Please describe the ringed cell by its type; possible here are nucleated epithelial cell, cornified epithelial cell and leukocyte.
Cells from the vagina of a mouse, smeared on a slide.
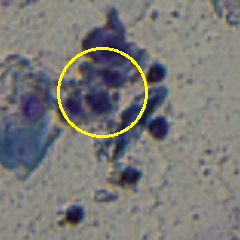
The yellow ring marks a nucleated epithelial cell.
